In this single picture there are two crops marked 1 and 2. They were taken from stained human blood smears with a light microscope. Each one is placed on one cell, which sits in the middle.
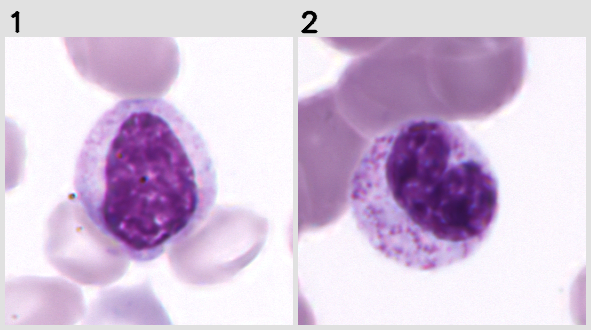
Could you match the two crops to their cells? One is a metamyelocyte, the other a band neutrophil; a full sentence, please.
The cell centred in crop 1 is a metamyelocyte, while the one centred in crop 2 is a band neutrophil.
